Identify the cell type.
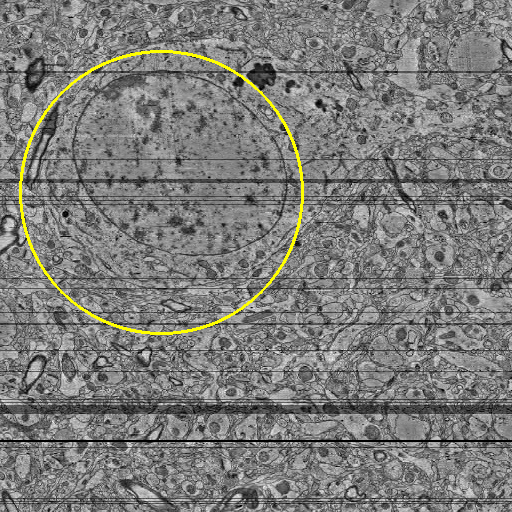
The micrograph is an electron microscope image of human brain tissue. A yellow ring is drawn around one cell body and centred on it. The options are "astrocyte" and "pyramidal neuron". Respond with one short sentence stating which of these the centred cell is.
The cell body in the ring belongs to a pyramidal neuron.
